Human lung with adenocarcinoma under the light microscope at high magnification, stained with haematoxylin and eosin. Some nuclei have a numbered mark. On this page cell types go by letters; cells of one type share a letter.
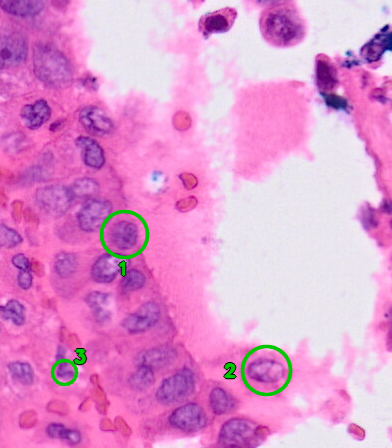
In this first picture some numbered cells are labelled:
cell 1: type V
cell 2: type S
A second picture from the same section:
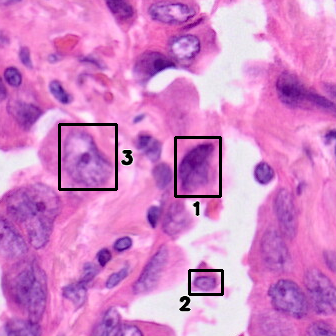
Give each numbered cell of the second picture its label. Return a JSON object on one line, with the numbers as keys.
{"1": "type V", "2": "type S", "3": "type V"}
